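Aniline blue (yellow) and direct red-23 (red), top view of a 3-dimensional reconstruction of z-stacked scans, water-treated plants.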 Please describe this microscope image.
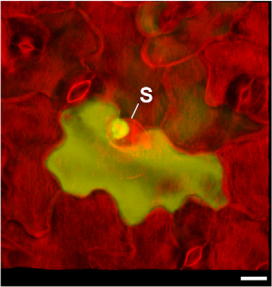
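Leaf epidermis seen from above, with red-outlined wavy pavement cells and several small oval stomata scattered among them. A small round red-and-yellow body marked S sits at the edge of the deposit.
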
